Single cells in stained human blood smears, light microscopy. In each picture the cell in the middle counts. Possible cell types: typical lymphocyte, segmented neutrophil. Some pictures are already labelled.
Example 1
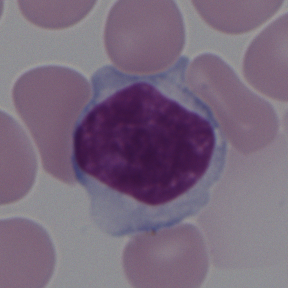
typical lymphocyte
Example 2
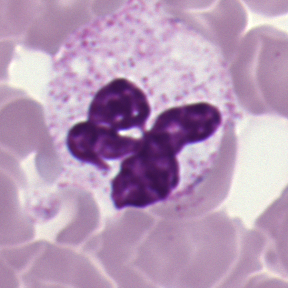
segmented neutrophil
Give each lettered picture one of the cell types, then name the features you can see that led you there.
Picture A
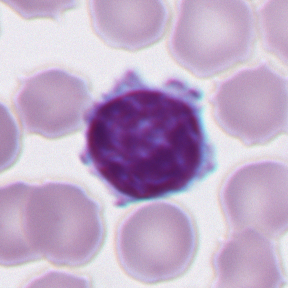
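typical lymphocyte. The cytoplasm forms only a thin rim around the nucleus.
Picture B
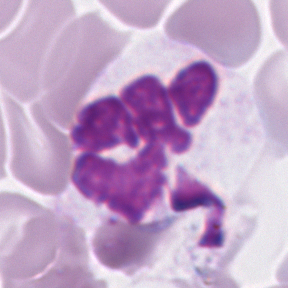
segmented neutrophil. The cytoplasm is plentiful and very pale pinkish-lilac.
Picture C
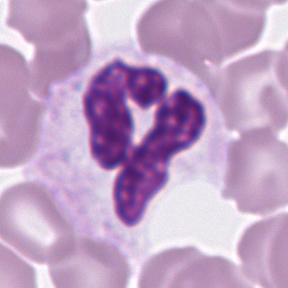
segmented neutrophil. The cytoplasm is abundant and very pale pinkish-lilac.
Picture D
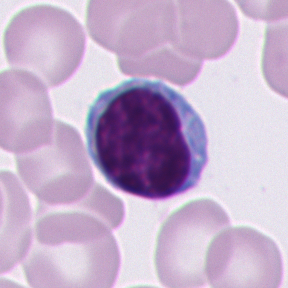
typical lymphocyte. The nucleus fills most of the cell.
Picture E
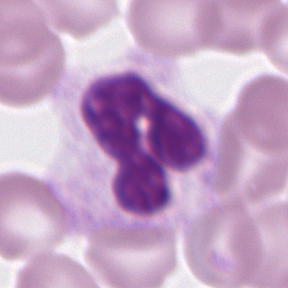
segmented neutrophil. A wide rim of pale pinkish-lilac cytoplasm surrounds the nucleus.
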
